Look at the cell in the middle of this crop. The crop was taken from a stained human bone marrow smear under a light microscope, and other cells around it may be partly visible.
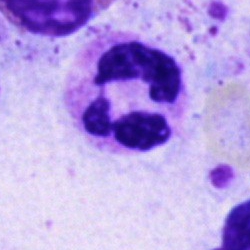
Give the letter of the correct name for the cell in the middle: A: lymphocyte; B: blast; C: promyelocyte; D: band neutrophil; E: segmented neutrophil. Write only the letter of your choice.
E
